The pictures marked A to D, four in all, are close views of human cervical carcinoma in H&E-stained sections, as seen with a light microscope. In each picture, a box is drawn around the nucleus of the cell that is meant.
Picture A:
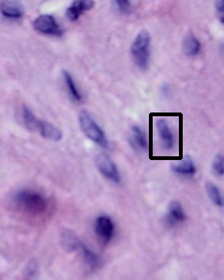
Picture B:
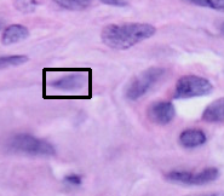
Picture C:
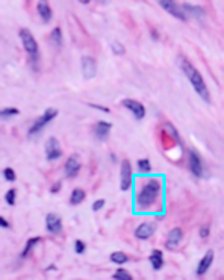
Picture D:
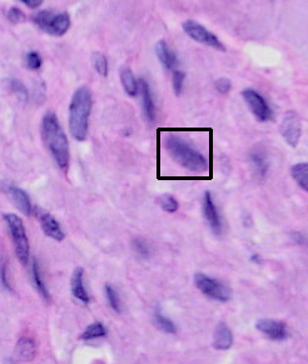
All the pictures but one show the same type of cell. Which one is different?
C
